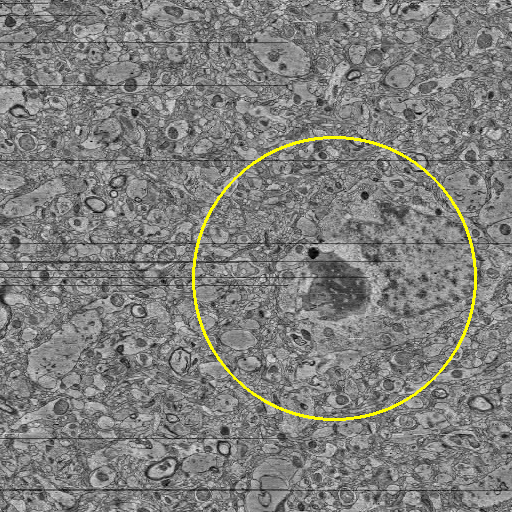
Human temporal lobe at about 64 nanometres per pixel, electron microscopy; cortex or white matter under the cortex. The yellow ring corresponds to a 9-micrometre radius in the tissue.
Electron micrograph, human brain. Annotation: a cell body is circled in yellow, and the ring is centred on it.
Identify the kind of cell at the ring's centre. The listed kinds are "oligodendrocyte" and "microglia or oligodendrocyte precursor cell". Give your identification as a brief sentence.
The circled cell body is that of an oligodendrocyte.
